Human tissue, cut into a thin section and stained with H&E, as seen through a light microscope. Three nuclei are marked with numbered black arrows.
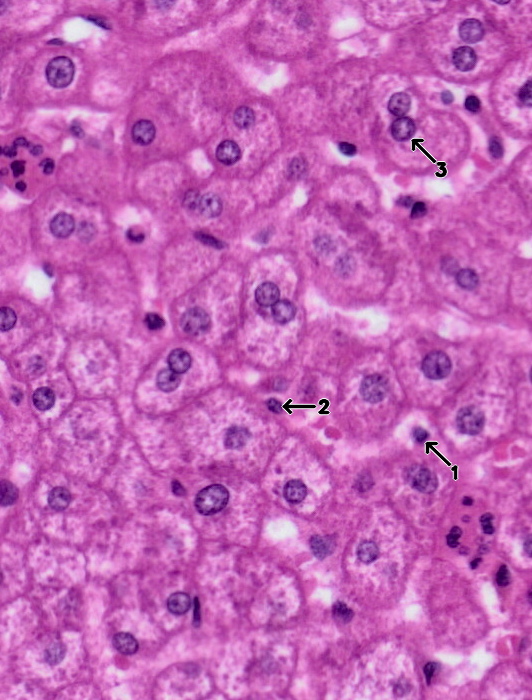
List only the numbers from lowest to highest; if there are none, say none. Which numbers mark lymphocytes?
1, 2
